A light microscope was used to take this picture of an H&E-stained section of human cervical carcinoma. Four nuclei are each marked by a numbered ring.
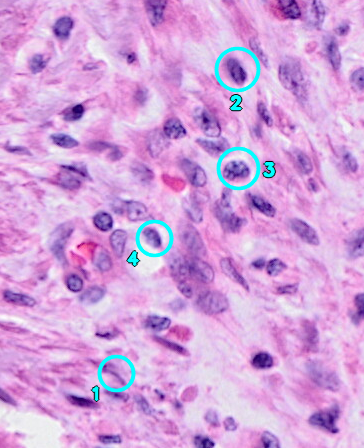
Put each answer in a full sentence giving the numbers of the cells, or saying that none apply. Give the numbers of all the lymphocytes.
Classified as lymphocytes are the cells numbered 2, 3 and 4.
